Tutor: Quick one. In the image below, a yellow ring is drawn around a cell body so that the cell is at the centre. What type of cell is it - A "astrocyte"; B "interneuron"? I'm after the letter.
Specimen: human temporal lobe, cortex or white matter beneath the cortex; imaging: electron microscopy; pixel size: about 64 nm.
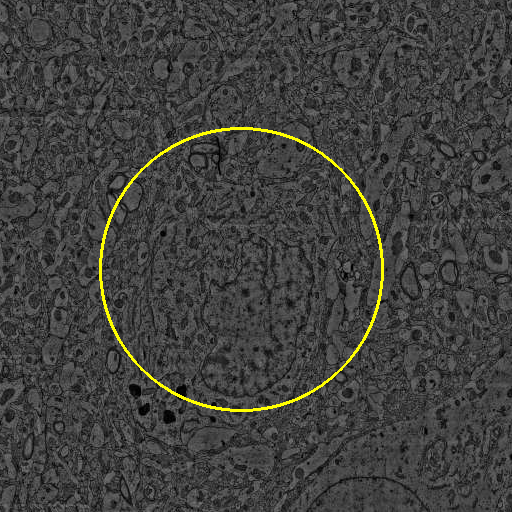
B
